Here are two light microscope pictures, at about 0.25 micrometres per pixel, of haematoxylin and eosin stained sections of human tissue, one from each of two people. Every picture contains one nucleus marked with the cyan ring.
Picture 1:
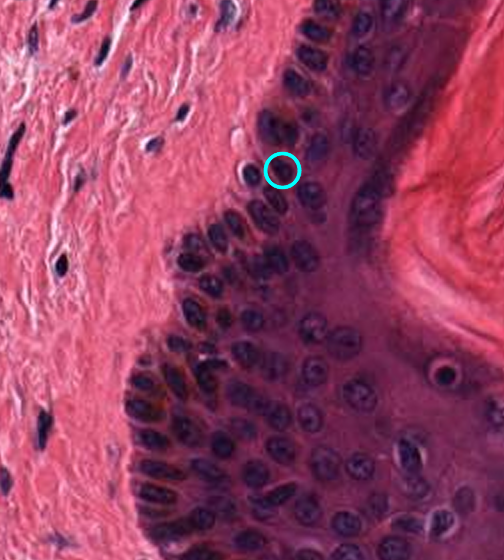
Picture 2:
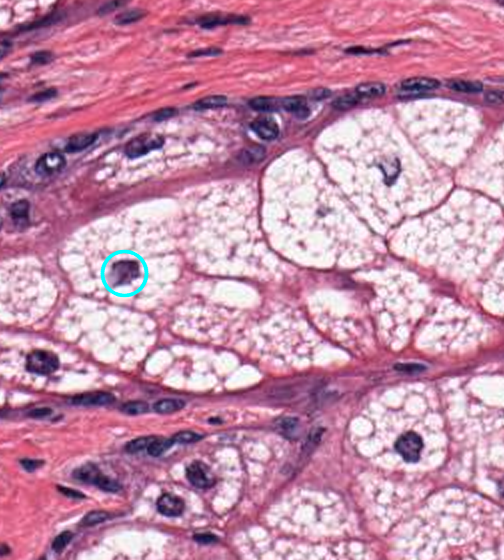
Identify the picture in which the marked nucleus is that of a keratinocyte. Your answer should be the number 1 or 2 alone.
1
